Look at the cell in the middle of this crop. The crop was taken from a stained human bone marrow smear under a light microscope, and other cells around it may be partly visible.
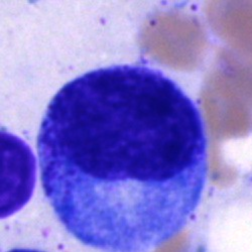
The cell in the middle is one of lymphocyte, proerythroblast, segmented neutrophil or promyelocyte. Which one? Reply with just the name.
promyelocyte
